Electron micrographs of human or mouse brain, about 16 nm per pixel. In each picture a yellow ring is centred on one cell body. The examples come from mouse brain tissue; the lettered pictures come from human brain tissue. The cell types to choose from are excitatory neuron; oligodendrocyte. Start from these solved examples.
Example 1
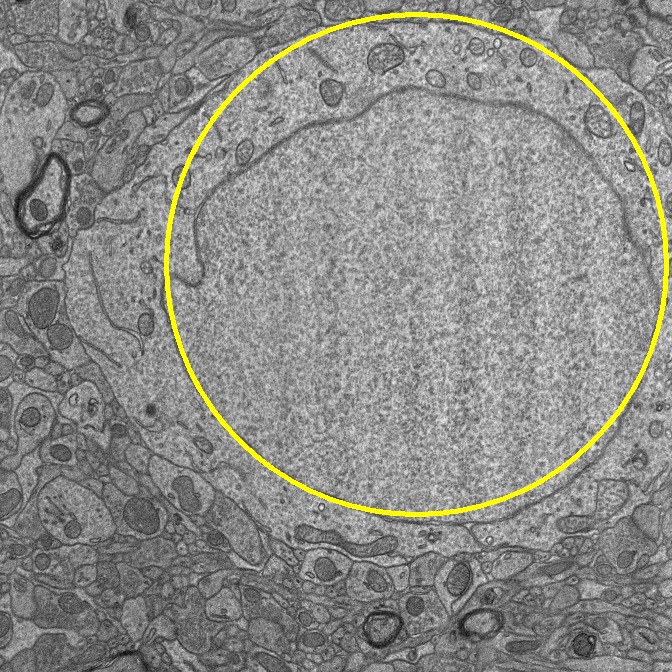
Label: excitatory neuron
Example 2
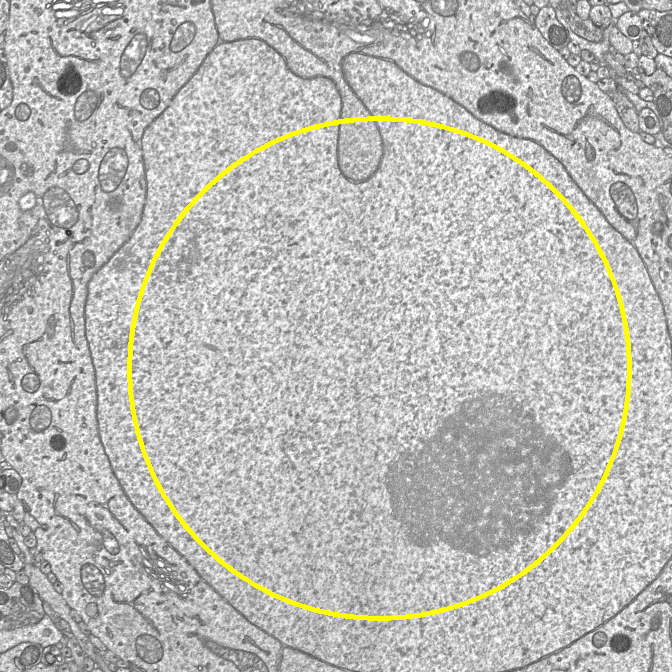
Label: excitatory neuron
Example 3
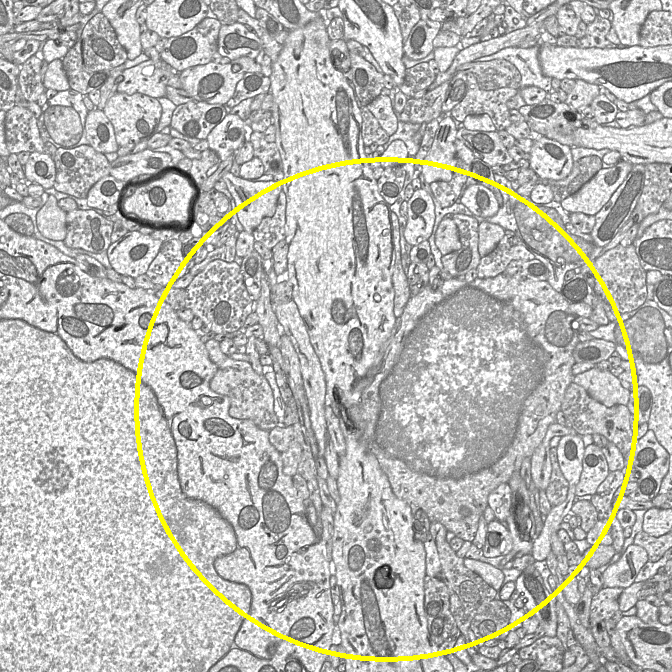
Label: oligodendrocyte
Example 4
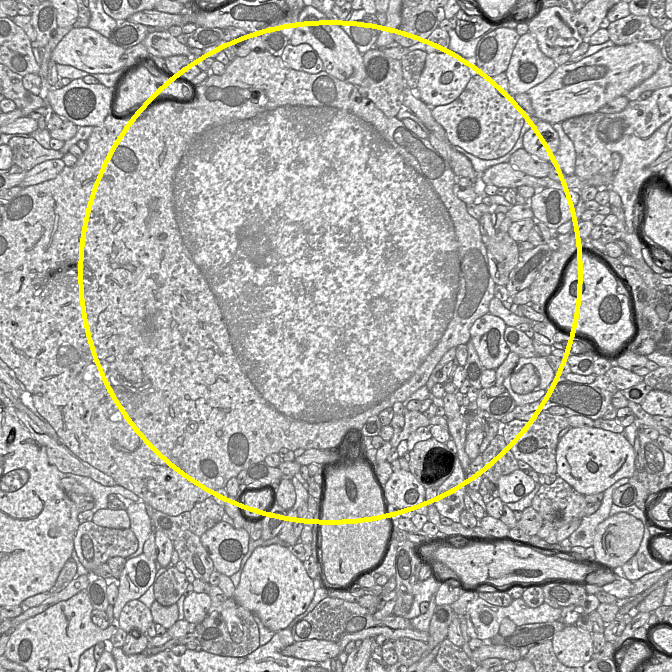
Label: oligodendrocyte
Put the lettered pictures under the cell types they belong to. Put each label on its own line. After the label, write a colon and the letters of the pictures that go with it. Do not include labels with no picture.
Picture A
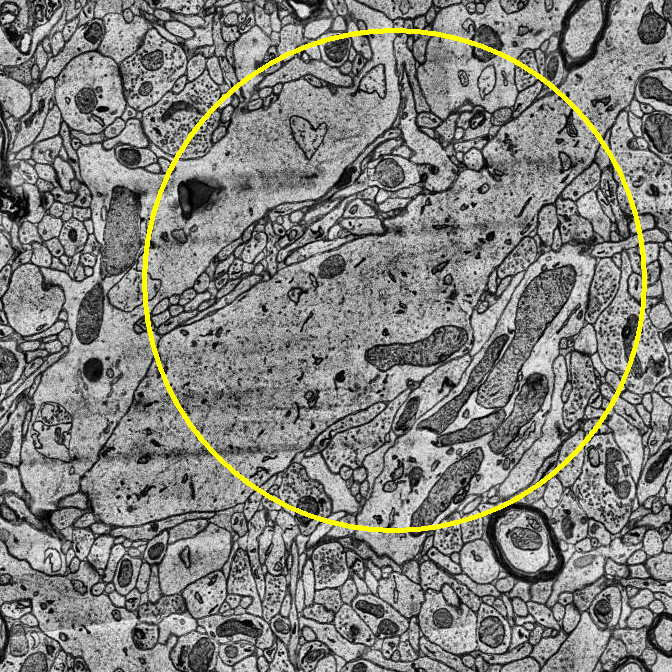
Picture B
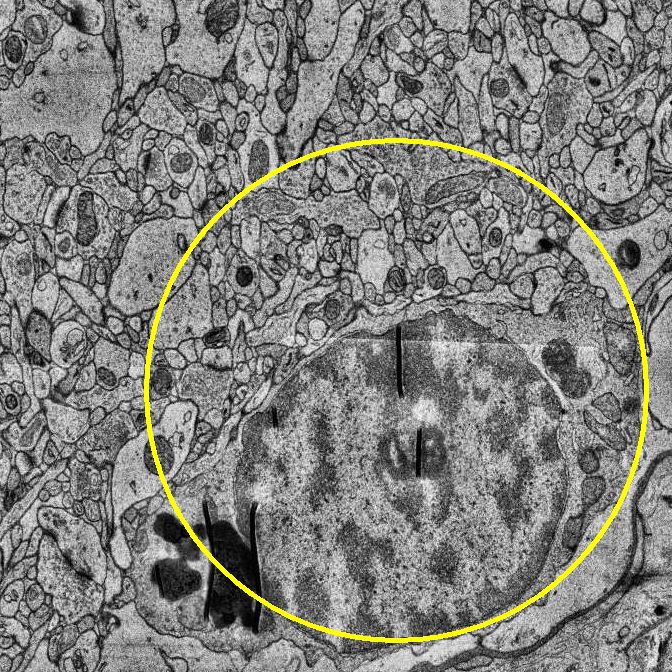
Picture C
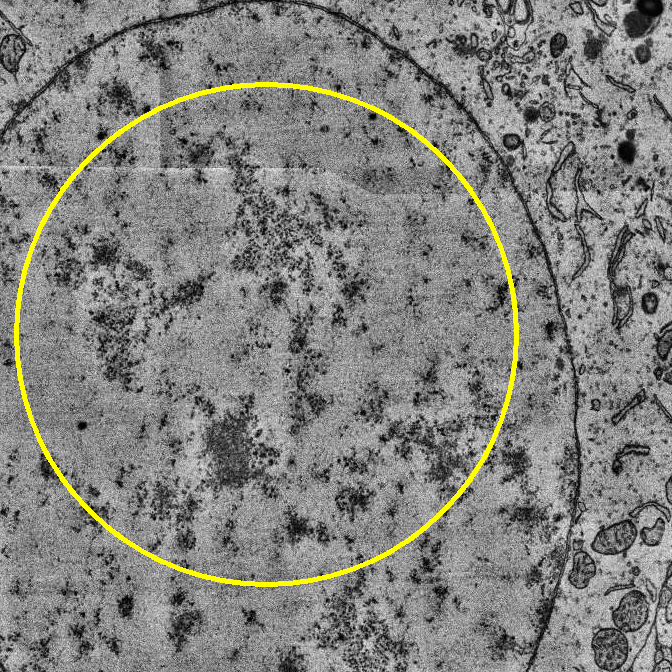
excitatory neuron: C
oligodendrocyte: A, B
